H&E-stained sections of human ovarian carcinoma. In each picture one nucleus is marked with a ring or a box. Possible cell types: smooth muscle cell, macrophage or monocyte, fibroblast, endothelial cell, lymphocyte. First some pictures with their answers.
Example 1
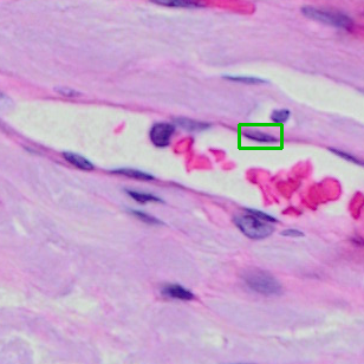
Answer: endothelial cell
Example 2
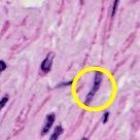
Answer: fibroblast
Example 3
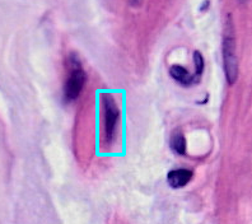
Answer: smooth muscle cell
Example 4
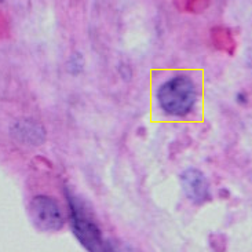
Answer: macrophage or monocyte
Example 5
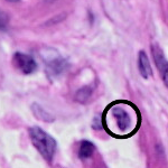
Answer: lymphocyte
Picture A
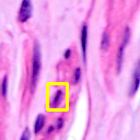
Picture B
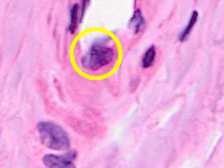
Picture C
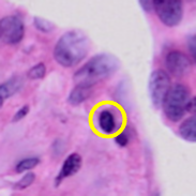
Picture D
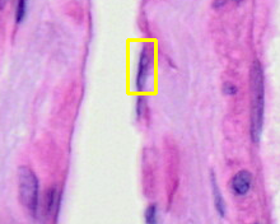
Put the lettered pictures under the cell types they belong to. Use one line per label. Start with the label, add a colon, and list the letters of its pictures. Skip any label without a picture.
smooth muscle cell: A
endothelial cell: B, D
lymphocyte: C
